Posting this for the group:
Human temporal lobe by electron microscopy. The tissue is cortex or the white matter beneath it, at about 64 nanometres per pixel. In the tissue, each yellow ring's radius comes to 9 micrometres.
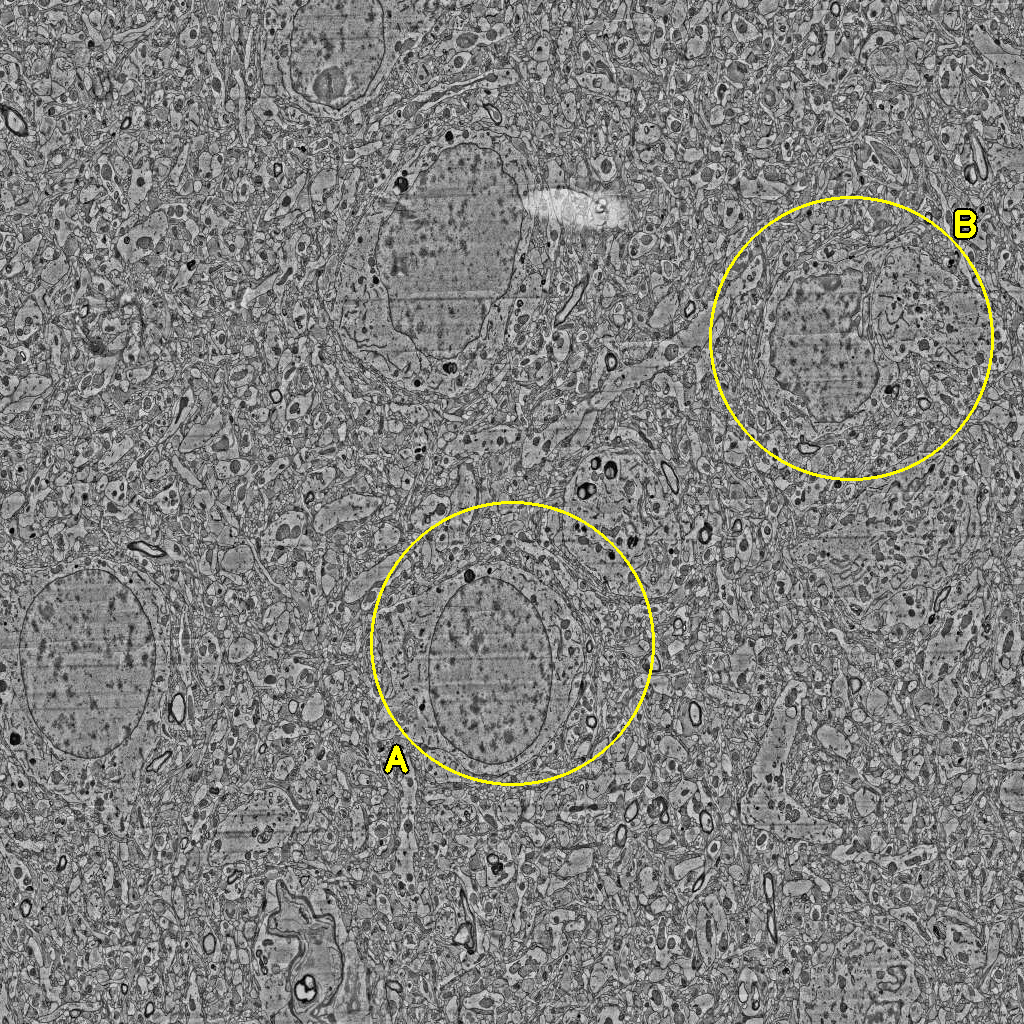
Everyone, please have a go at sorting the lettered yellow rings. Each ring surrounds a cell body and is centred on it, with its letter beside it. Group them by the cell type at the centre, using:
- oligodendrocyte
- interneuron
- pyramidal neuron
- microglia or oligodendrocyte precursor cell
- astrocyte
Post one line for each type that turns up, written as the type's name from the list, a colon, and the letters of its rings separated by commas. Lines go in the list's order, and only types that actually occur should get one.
interneuron: B
pyramidal neuron: A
